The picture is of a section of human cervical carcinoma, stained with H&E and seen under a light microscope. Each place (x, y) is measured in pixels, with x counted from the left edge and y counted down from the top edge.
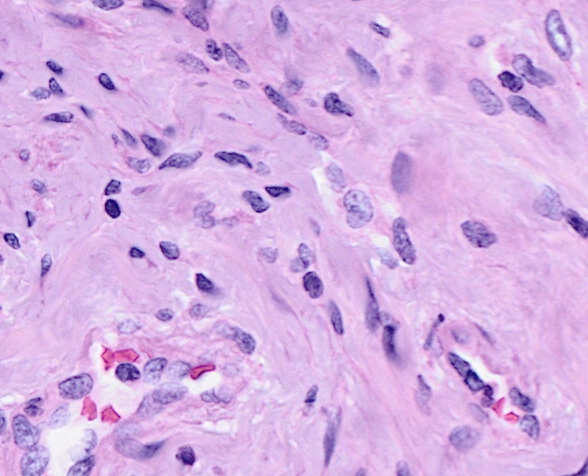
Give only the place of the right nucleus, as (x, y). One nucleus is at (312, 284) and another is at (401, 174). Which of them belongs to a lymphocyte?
(312, 284)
